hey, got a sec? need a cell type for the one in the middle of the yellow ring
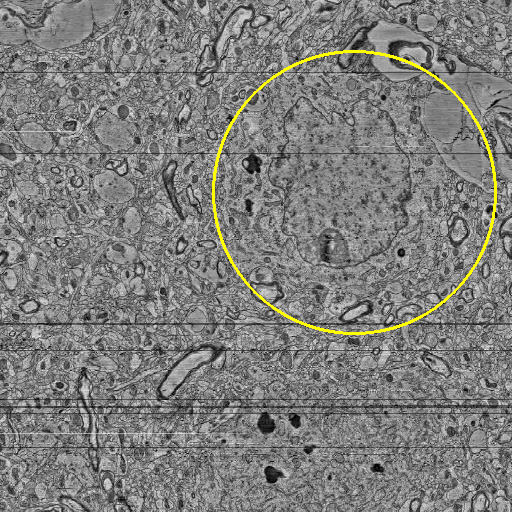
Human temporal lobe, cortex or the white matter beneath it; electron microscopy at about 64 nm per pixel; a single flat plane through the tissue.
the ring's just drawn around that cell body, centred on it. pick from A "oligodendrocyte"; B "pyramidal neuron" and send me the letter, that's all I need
B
